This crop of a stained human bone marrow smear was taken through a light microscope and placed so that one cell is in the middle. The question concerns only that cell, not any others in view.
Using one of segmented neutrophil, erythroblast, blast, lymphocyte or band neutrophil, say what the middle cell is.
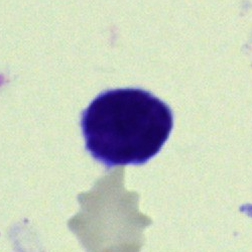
lymphocyte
